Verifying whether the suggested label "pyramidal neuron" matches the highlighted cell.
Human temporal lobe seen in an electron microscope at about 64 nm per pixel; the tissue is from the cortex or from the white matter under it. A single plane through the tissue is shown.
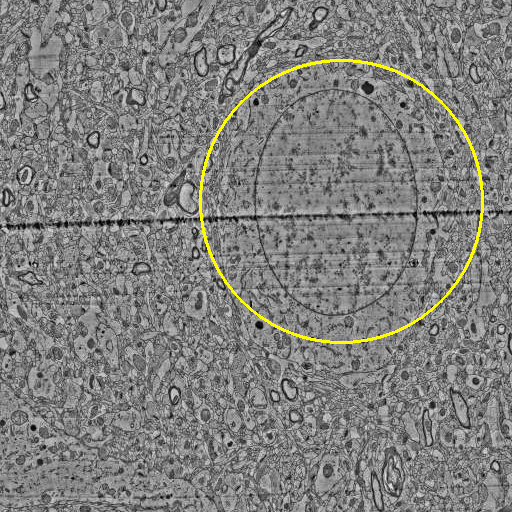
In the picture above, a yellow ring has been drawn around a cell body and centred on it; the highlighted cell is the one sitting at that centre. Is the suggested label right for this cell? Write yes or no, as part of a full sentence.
Yes, the suggested label is right for the cell centred in the yellow ring.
